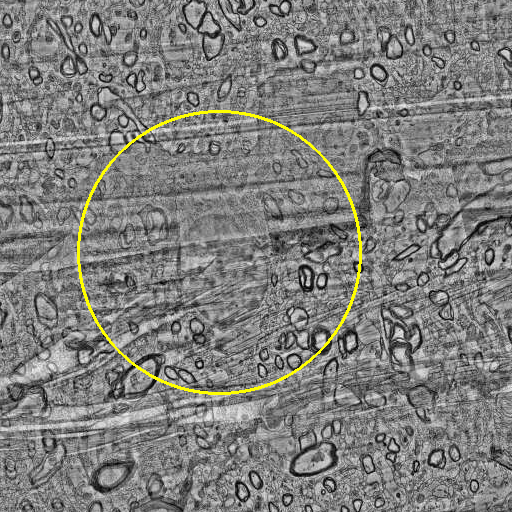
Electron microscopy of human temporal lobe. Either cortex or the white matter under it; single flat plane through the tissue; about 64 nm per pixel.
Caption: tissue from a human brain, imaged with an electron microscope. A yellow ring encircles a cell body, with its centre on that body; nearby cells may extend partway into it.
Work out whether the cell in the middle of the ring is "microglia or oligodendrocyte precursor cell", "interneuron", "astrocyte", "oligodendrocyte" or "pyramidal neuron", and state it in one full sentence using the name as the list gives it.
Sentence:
In the picture, the cell that the yellow ring surrounds at its centre is a microglial cell or oligodendrocyte precursor cell.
